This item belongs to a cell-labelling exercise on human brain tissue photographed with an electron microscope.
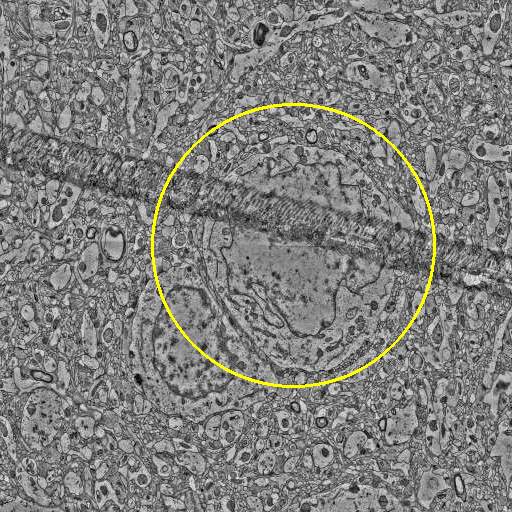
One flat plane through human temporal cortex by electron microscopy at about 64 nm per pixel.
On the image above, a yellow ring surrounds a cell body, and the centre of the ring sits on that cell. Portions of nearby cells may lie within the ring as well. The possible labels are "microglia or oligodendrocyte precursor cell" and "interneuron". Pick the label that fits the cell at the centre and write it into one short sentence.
This cell should be labelled as an interneuron.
